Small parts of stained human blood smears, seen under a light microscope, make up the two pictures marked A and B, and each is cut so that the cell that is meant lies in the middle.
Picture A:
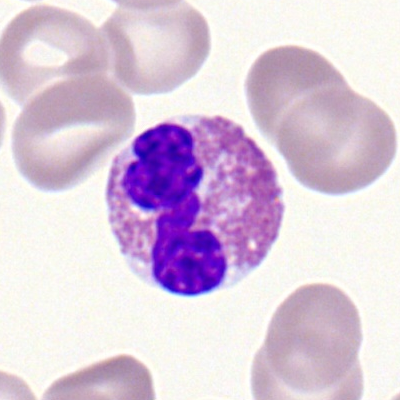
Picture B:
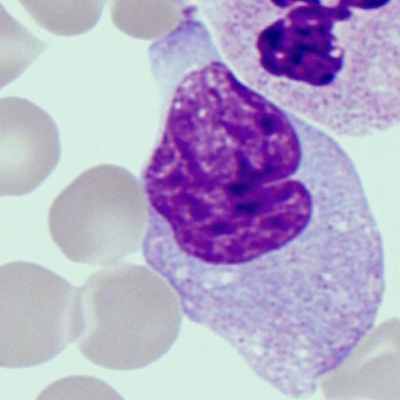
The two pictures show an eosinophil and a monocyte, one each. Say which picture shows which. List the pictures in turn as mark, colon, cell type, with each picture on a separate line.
A: eosinophil
B: monocyte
